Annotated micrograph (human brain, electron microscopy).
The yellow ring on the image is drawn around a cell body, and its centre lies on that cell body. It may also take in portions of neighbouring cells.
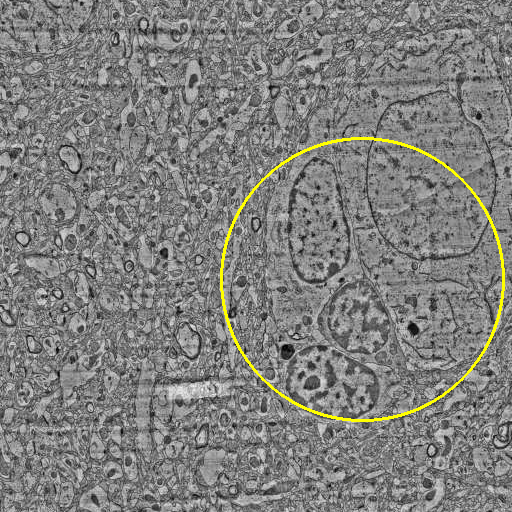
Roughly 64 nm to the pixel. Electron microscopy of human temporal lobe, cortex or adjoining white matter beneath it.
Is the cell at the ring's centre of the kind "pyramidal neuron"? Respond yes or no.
No, it is of another kind.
